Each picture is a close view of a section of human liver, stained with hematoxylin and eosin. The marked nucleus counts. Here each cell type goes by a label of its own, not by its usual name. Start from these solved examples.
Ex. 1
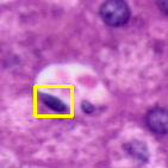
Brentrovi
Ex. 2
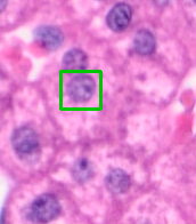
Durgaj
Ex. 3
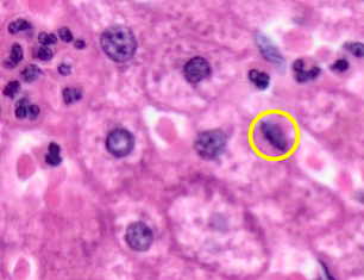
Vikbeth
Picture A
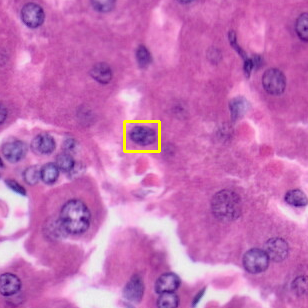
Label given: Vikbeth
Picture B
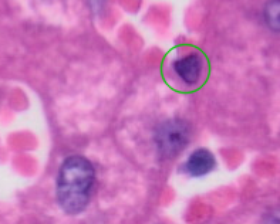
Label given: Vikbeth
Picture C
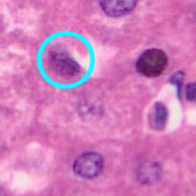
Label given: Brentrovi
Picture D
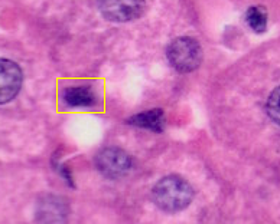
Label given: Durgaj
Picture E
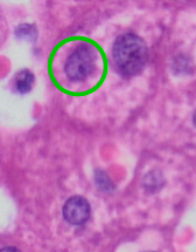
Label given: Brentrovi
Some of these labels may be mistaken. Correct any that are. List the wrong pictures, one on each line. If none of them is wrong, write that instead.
Wrong: D (Durgaj); correct: Vikbeth
Wrong: E (Brentrovi); correct: Durgaj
